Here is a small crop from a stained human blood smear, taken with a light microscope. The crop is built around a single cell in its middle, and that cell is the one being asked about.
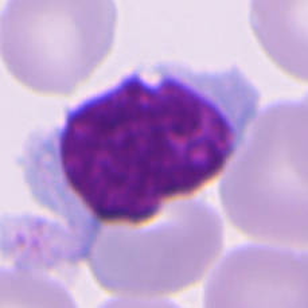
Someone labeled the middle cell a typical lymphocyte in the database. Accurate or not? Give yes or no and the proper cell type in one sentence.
No, a large granular lymphocyte rather than a typical lymphocyte is the cell at the centre of the crop.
